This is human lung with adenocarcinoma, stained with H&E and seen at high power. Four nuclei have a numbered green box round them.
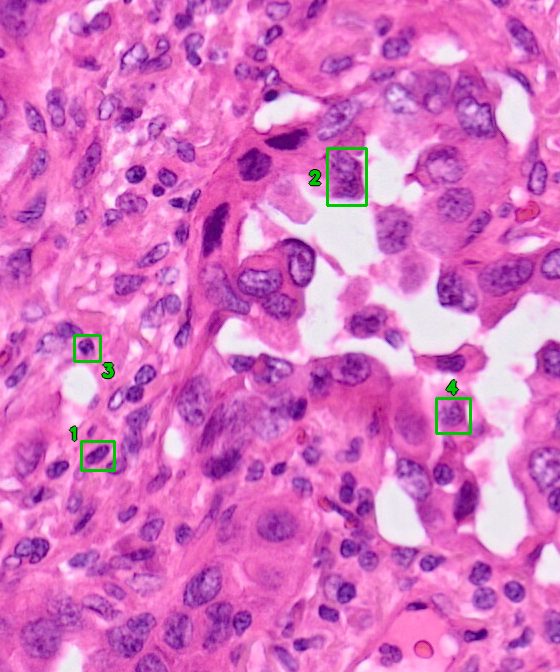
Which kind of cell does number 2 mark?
carcinoma cell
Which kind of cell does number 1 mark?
lymphocyte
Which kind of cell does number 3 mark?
lymphocyte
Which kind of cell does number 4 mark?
carcinoma cell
